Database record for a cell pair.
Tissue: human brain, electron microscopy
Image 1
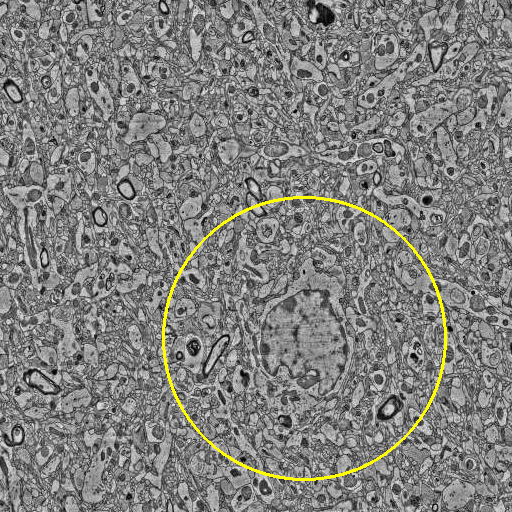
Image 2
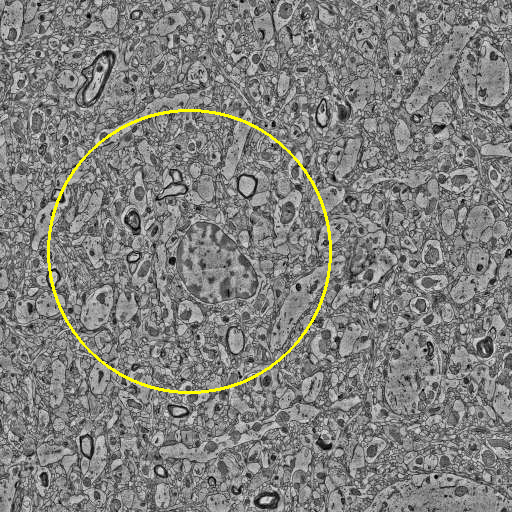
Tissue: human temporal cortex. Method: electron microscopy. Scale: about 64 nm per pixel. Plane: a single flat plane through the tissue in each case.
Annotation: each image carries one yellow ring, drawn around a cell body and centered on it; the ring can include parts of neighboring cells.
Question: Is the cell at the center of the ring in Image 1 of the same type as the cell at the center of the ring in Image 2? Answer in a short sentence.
Yes, the cells are of the same type.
